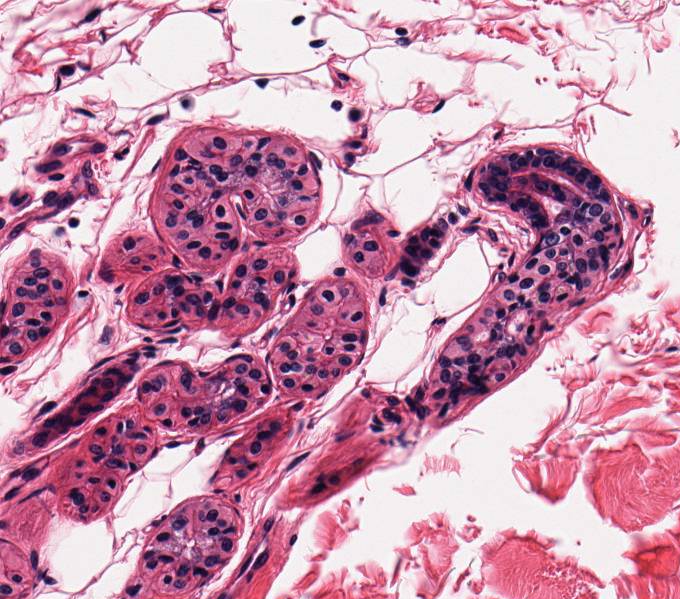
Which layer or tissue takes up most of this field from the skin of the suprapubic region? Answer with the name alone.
eccrine sweat gland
